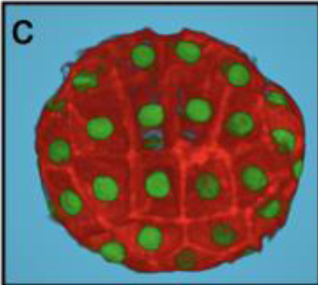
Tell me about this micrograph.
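Red lines trace the membranes of each cell, so the surface is divided into polygonal, roughly brick-like compartments arranged in rows and tightly packed against each other. Inside most compartments sits a single green, round to oval nucleus, usually near the centre of its cell. The nuclei are of fairly similar size, and the cells themselves are large relative to them. The outlines are brightest where neighbouring cells meet. A few small gaps near the upper middle let the blue background show through between cells.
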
